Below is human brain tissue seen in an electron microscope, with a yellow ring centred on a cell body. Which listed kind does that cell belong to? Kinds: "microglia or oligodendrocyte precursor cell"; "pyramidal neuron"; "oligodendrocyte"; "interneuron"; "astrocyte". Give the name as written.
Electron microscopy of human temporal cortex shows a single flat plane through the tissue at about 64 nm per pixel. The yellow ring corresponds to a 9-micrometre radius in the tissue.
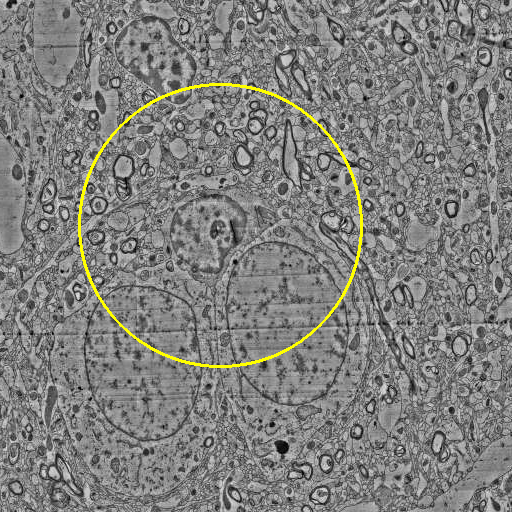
oligodendrocyte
